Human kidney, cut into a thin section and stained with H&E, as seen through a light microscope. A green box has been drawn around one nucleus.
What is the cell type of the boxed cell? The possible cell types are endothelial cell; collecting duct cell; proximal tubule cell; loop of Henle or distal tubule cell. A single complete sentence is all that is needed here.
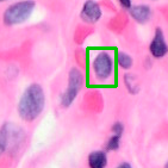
In this section of tissue, the boxed cell is an endothelial cell.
